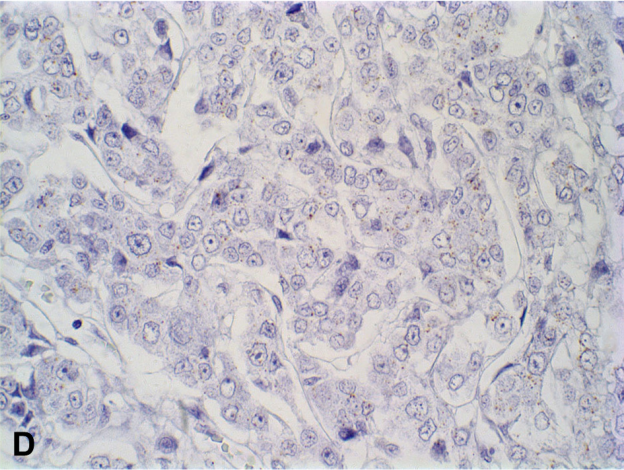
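This is an invasive carcinomatous area, where tumour epithelial cells form irregular cords and small clusters separated by loose, clear stroma. The cells have large vesicular nuclei with prominent nucleoli, and some darker, elongated nuclei lie among them. Only sparse fine brown dots are seen in the cytoplasm.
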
